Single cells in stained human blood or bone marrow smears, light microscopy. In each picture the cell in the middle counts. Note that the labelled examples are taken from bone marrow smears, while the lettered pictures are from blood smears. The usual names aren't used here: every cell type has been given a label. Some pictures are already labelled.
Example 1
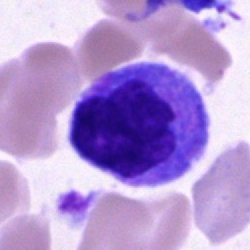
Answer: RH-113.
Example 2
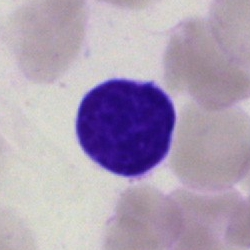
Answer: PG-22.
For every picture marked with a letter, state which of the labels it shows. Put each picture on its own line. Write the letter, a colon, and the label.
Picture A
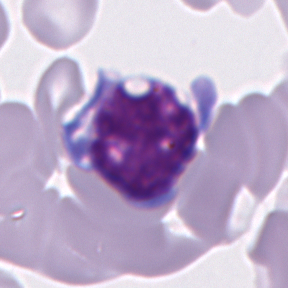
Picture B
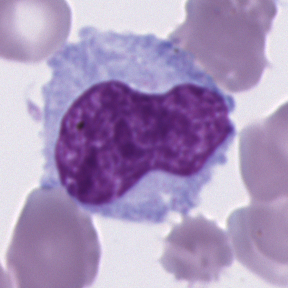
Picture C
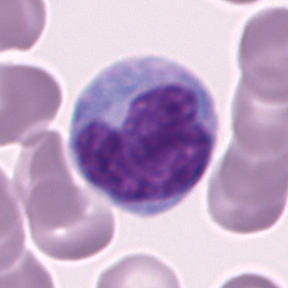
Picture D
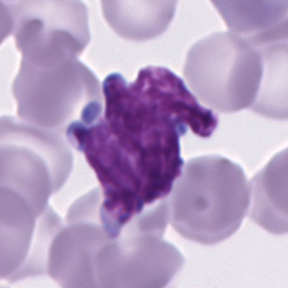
A: PG-22.
B: RH-113.
C: RH-113.
D: PG-22.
